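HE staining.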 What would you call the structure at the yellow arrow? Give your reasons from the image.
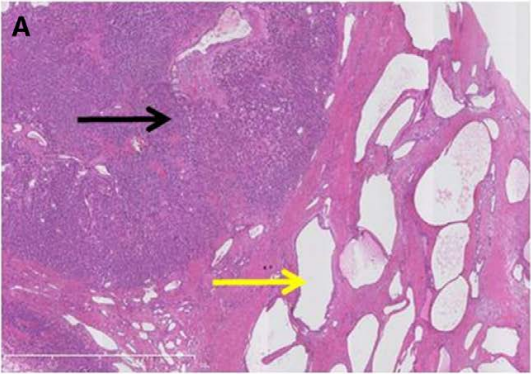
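The arrow points at a region of many empty, round to irregular spaces. The spaces are separated by thin pink fibrous septa.
Answer: cystic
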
